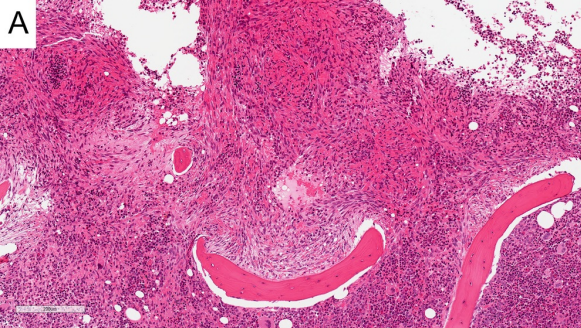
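Bone marrow in which sweeping fascicles of spindled cells with elongated nuclei replace part of the marrow space. The spindle cell bundles wrap around a curved trabecula of pink bone, while denser, rounder hematopoietic marrow cells lie at the edges.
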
